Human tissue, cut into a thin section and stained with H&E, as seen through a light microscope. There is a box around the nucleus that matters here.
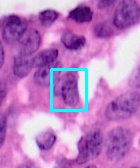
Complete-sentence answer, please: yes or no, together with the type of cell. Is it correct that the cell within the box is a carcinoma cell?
Yes, within this tissue section, the cell within the box is a carcinoma cell.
